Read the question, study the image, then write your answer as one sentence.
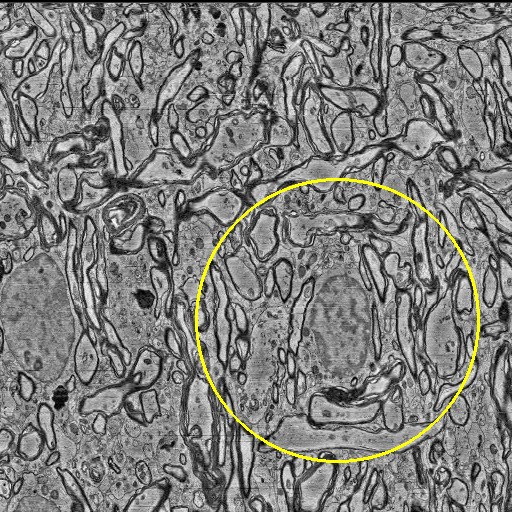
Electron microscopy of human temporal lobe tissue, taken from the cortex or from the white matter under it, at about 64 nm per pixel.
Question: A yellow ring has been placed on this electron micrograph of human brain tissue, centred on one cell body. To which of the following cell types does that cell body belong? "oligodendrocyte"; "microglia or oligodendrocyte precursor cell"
That cell body belongs to an oligodendrocyte.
